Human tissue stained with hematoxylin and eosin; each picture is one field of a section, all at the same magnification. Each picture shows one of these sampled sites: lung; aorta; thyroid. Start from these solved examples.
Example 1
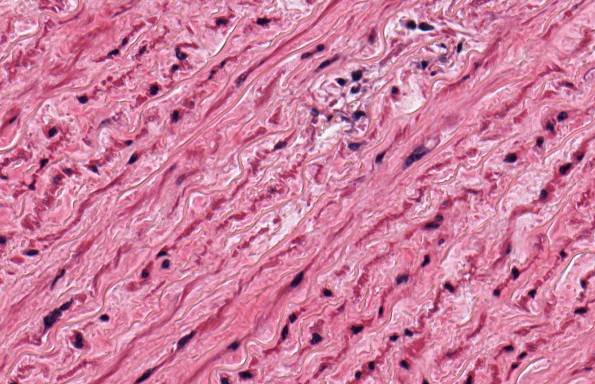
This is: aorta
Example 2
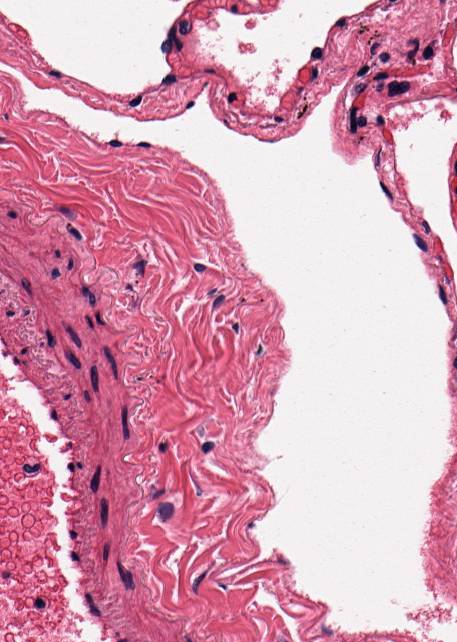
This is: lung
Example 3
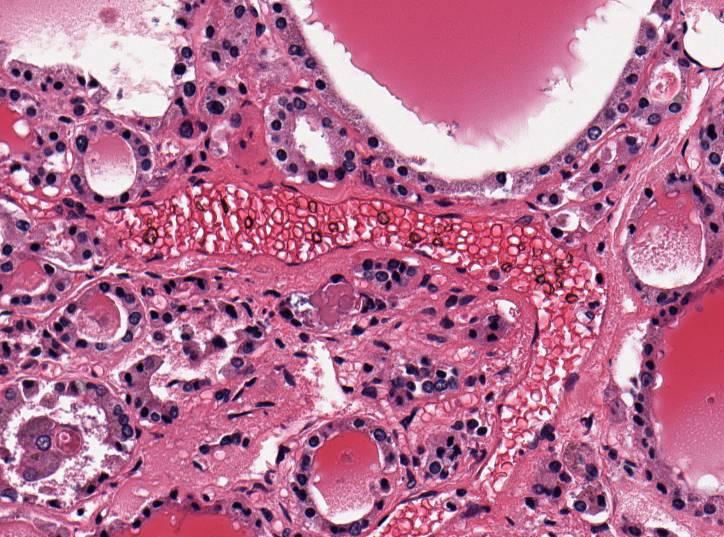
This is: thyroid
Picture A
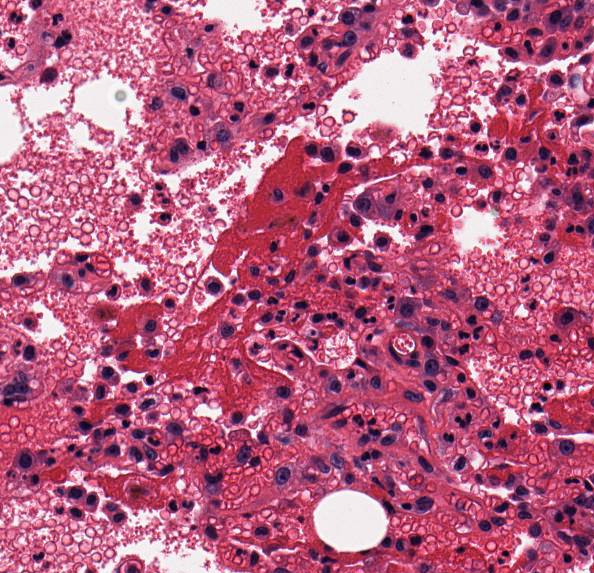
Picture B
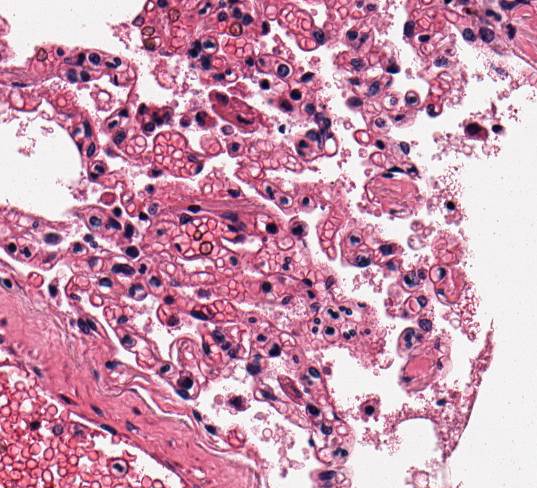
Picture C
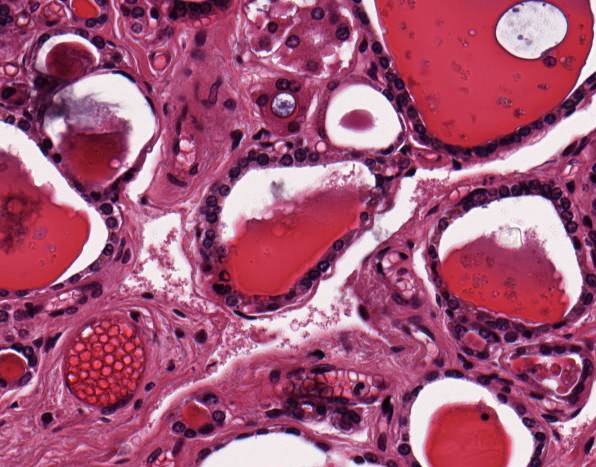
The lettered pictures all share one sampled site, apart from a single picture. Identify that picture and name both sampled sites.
C: thyroid; all the others: lung.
